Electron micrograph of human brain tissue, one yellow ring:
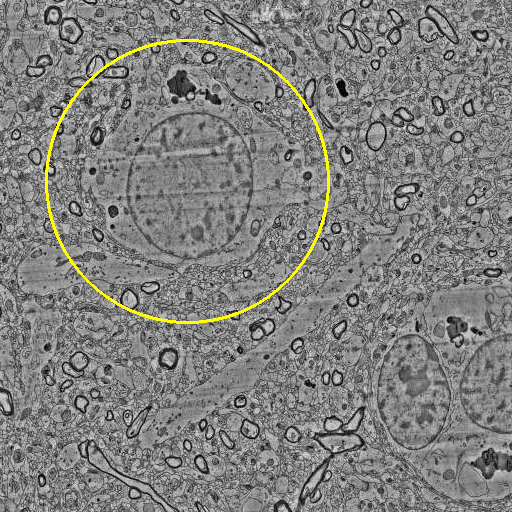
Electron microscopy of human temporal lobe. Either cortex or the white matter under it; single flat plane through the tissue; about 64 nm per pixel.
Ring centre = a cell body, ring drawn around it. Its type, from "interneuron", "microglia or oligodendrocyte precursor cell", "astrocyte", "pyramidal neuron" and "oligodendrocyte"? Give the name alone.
astrocyte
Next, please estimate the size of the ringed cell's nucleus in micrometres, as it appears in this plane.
In this plane, about 9 micrometres in length and 8 in width.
